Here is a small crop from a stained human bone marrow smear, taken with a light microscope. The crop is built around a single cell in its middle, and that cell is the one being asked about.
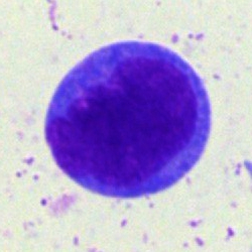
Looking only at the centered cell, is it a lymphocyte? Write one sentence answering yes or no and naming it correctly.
No, the central cell is a blast; it should not be labelled a lymphocyte.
